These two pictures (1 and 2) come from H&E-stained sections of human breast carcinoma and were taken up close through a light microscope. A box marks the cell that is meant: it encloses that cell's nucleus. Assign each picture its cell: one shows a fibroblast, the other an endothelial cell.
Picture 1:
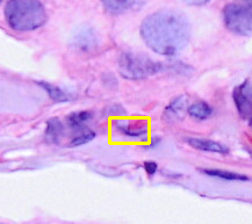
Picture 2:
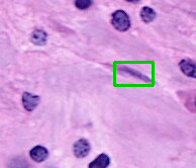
1: endothelial cell
2: fibroblast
